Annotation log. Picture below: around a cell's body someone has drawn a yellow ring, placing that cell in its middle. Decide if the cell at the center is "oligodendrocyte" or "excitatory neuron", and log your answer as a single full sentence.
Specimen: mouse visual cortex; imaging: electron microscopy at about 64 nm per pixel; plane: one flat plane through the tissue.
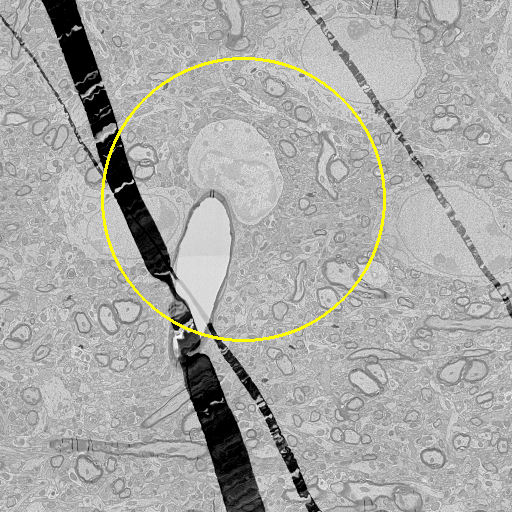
My entry records an oligodendrocyte as the cell sitting at the center of the yellow ring.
